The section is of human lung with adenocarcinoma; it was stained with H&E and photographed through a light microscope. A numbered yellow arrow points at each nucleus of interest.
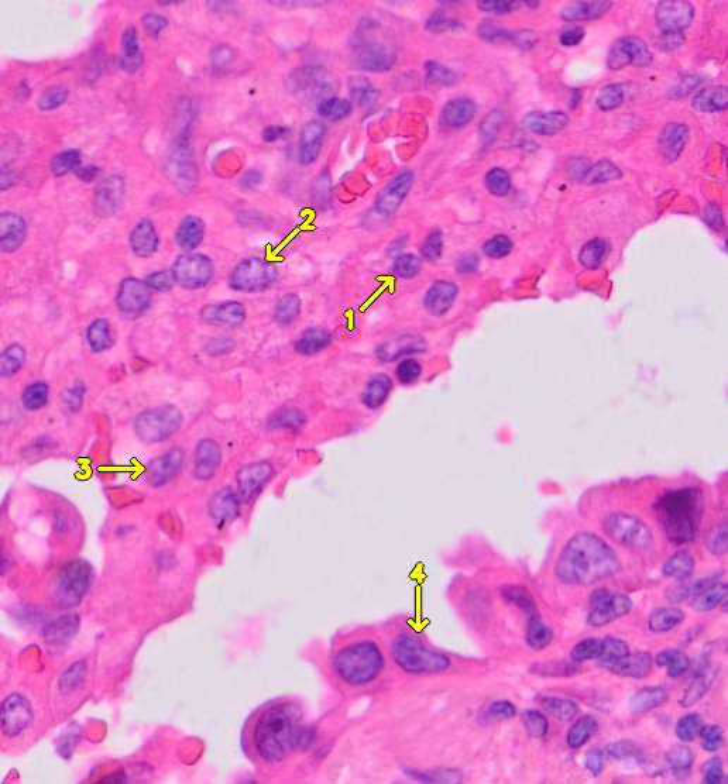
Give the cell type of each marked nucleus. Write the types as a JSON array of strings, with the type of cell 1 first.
["lymphocyte", "macrophage or monocyte", "macrophage or monocyte", "carcinoma cell"]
